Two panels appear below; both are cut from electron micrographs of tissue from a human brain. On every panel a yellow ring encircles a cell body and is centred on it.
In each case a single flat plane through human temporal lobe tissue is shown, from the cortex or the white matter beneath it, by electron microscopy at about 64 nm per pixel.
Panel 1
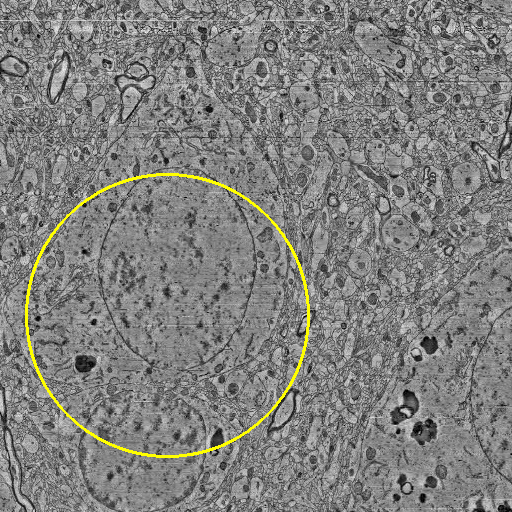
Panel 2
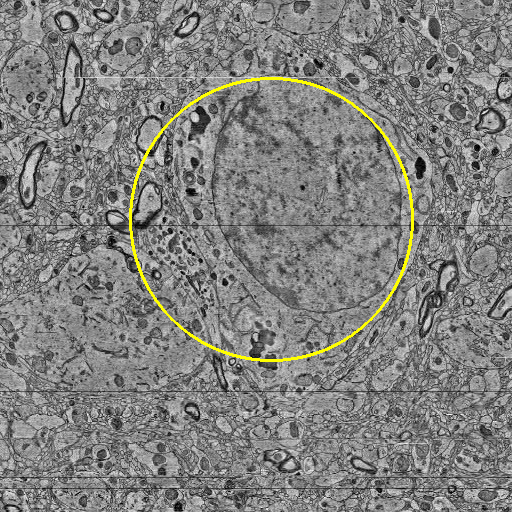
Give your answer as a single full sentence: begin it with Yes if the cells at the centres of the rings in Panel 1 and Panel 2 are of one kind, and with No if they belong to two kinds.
No, the cells in the middle of the rings in Panels 1 and 2 are of two kinds.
